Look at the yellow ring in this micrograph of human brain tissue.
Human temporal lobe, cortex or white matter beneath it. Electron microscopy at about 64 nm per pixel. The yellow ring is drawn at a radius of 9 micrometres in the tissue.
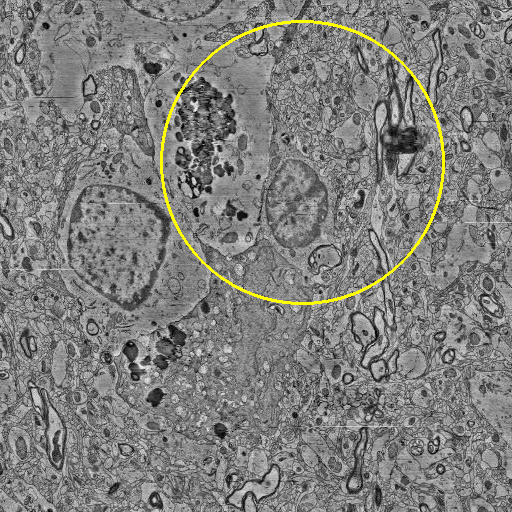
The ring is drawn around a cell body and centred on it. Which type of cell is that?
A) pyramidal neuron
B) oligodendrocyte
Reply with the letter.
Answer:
B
